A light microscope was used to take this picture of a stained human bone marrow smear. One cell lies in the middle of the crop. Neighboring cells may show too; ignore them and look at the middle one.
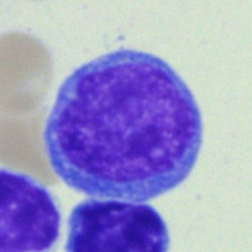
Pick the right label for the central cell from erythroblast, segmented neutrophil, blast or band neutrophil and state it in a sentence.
In the middle of this smear crop, the cell is a blast.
